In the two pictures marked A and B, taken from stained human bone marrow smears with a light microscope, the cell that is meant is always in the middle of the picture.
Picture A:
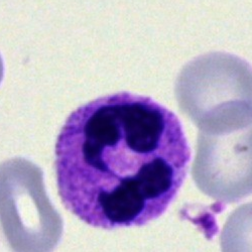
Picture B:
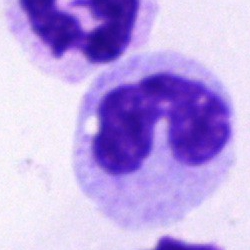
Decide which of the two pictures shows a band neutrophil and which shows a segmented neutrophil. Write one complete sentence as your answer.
In picture A the cell is a segmented neutrophil; in picture B, a band neutrophil.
